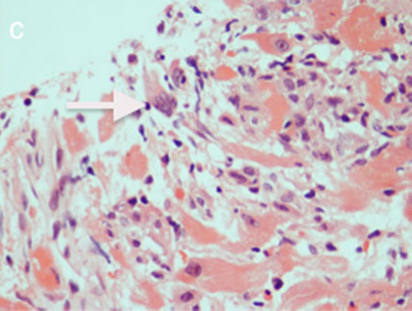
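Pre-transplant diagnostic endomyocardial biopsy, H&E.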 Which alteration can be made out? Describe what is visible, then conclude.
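Pink myocyte fragments are scattered and separated by many inflammatory cells. A multinucleated cell is present among the infiltrate.
Hence: Giant cell myocarditis.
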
